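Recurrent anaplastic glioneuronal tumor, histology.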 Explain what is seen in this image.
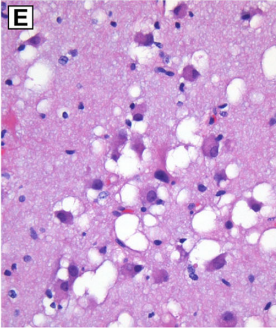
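Loose pale pink fibrillary tissue crowded with clear vacuoles of varying size. Larger ganglion-like cells with abundant purple cytoplasm lie beside and among the vacuoles. Small dark nuclei are scattered in between.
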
